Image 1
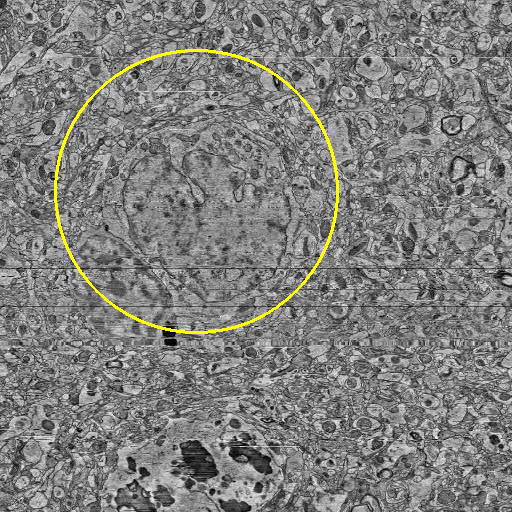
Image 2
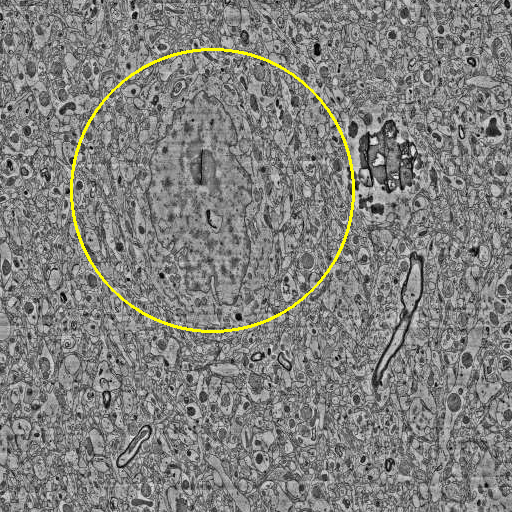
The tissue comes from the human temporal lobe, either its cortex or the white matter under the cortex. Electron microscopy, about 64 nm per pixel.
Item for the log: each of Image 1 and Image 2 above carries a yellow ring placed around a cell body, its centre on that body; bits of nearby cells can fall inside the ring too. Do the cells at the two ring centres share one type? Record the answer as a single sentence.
Yes, the two cells at the ring centres in Image 1 and Image 2 share one type.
